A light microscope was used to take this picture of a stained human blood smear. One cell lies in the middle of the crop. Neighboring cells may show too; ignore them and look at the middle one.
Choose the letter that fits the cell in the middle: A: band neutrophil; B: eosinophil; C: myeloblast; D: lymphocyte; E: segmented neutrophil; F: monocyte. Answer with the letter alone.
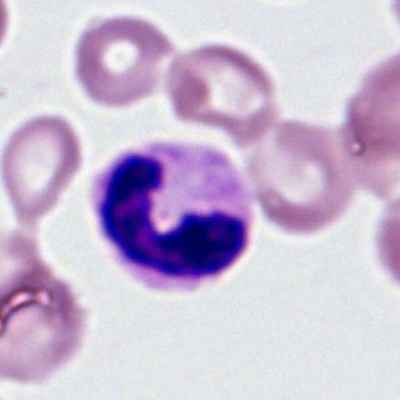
A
